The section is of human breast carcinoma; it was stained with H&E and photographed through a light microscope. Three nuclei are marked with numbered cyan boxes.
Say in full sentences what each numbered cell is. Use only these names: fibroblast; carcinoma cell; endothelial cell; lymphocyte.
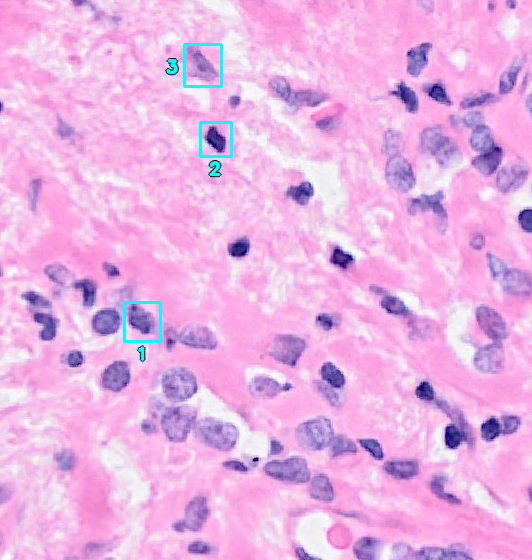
Cell 1 is a lymphocyte, cell 2 is a lymphocyte and cell 3 is a fibroblast.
